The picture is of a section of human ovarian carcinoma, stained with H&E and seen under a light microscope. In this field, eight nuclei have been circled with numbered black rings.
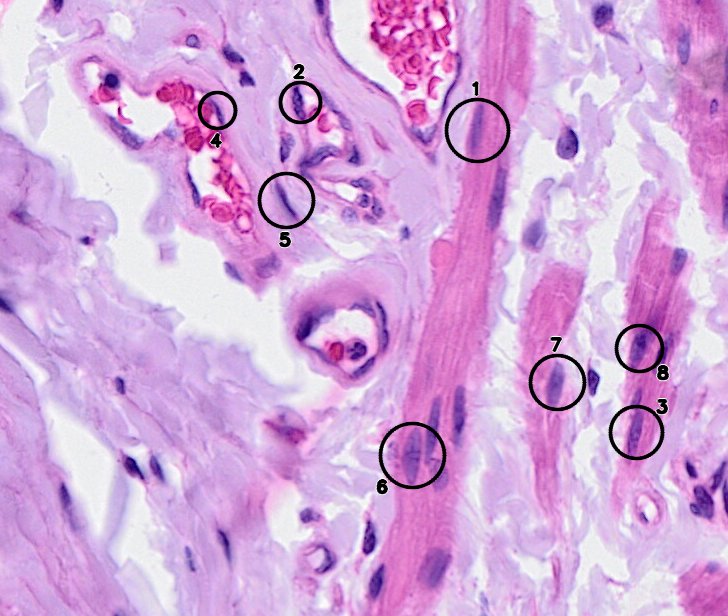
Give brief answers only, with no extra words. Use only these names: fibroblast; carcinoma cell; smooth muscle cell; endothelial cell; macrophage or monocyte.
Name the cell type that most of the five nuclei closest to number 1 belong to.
endothelial cell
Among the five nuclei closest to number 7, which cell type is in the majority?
smooth muscle cell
